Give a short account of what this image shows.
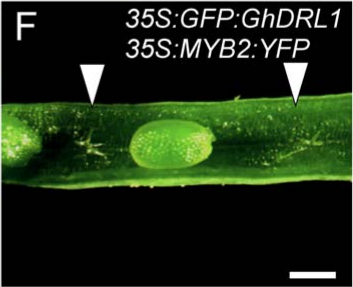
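This is the inner face of an opened silique wall, green and finely speckled, with a single oval seed lying in the middle and part of another at the left edge. On either side of the seed, small star-shaped, branched hairs lie flat against the wall. Each hair has several thin arms radiating from a central point. These branched structures are trichomes, single epidermal hair cells. Their presence inside the pod, where none are normally formed, marks them as ectopic trichomes.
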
